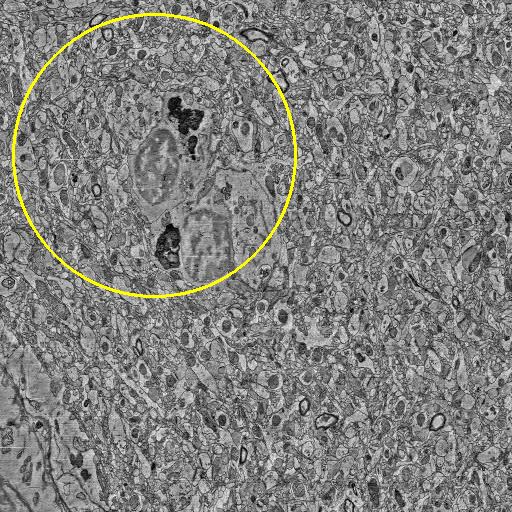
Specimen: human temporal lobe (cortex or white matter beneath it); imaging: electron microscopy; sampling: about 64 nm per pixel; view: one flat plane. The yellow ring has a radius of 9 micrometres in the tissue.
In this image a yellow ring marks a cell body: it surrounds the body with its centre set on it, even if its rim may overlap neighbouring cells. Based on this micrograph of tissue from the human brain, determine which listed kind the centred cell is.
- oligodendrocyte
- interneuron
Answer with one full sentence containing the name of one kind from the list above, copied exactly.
It is an oligodendrocyte whose body the yellow ring encloses at its centre.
